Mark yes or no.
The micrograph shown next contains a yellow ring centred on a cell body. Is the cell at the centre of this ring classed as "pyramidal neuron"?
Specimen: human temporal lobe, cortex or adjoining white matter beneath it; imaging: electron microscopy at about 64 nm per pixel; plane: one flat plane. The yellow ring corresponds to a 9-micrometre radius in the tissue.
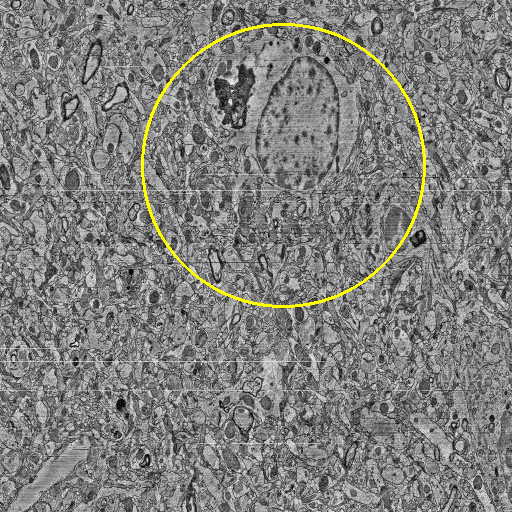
no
